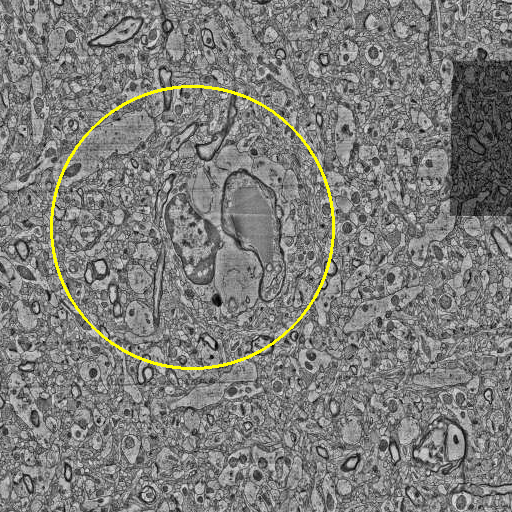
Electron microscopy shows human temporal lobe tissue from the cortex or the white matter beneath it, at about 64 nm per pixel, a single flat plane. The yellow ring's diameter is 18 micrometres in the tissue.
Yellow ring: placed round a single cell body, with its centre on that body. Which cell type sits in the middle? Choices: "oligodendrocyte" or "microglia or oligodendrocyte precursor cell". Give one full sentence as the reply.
It is a microglial cell or oligodendrocyte precursor cell whose cell body sits at the centre of the yellow ring.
